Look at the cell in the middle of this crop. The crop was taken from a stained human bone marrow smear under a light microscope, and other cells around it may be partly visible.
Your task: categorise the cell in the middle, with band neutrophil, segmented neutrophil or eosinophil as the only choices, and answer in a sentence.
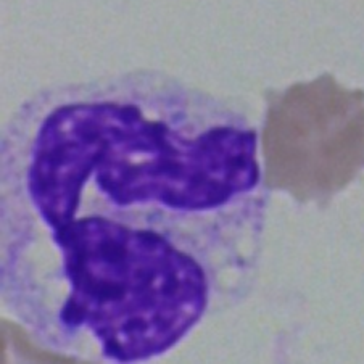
The central cell in this smear crop is a segmented neutrophil.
